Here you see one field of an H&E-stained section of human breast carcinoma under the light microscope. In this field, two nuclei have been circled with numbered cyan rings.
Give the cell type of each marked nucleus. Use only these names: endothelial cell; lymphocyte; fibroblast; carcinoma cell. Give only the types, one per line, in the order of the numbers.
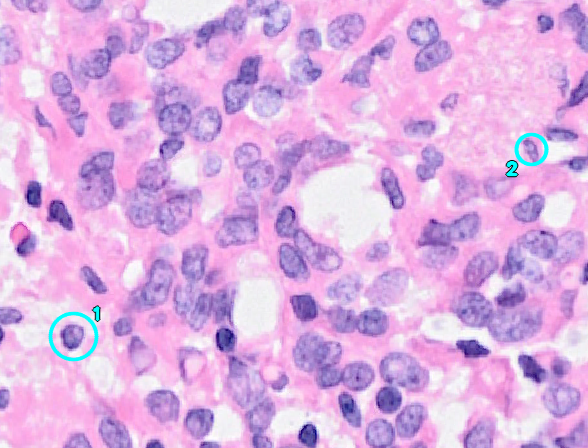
lymphocyte
endothelial cell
